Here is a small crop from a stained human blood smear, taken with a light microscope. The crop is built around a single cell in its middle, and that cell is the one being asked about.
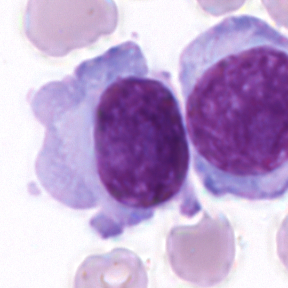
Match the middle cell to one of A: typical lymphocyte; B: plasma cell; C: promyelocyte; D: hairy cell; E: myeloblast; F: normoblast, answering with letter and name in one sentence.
Option B is to be chosen, as the central cell is a plasma cell.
